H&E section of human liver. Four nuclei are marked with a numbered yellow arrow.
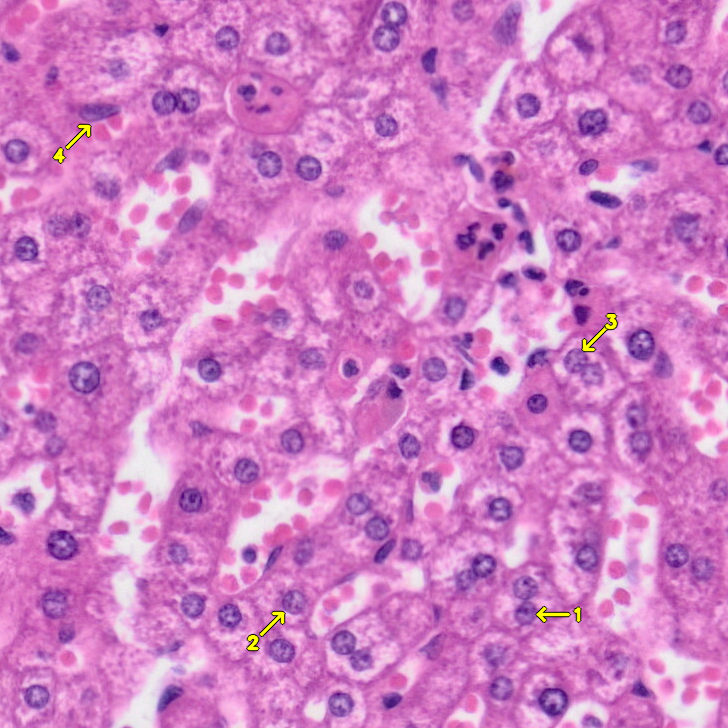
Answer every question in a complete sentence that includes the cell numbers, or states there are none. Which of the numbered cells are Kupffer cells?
Cell 4 is a Kupffer cell; every other numbered cell is something else.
